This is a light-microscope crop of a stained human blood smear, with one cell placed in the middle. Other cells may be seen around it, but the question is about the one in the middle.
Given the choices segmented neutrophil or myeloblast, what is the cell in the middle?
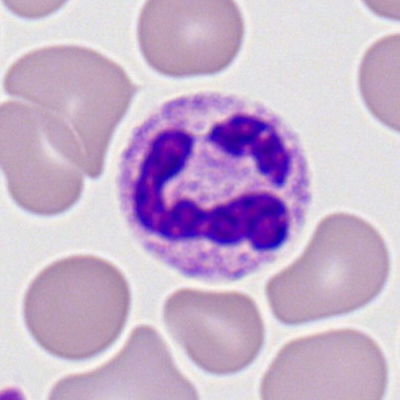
segmented neutrophil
